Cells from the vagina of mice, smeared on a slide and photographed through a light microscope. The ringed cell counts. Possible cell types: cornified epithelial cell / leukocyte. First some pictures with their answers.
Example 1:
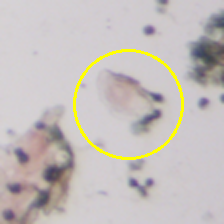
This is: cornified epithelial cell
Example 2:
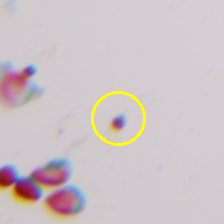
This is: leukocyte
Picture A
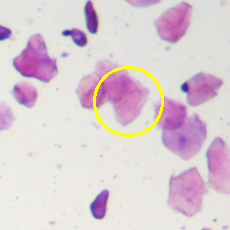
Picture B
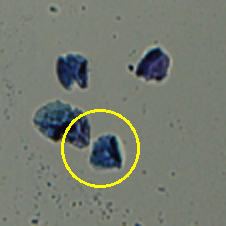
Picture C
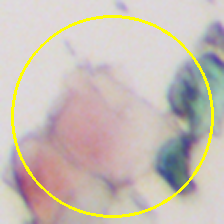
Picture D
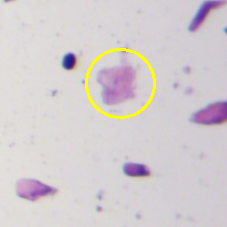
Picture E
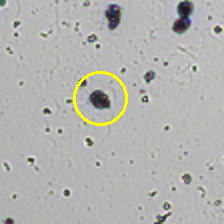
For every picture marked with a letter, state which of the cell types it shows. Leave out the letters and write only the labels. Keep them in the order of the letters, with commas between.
cornified epithelial cell, cornified epithelial cell, cornified epithelial cell, cornified epithelial cell, leukocyte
